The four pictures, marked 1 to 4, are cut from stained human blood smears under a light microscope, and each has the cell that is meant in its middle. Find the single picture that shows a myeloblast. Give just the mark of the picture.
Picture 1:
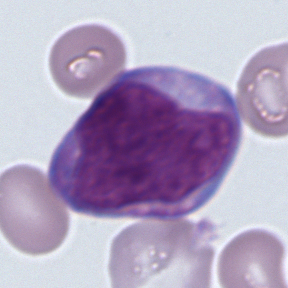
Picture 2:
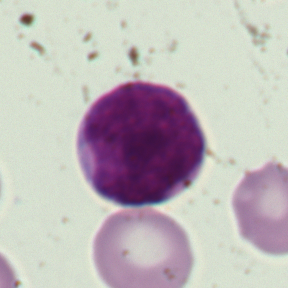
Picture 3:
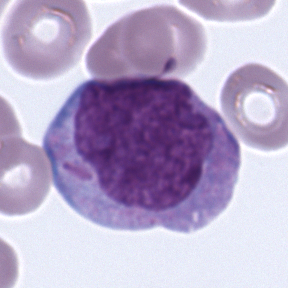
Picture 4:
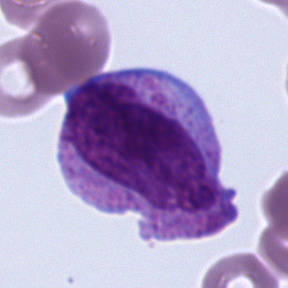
2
